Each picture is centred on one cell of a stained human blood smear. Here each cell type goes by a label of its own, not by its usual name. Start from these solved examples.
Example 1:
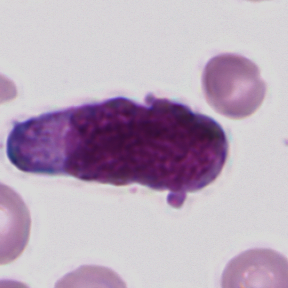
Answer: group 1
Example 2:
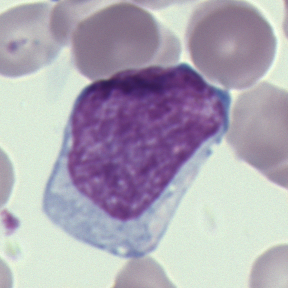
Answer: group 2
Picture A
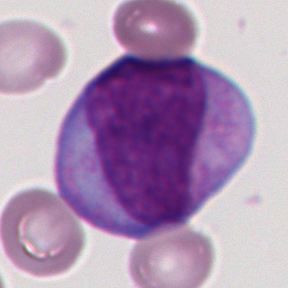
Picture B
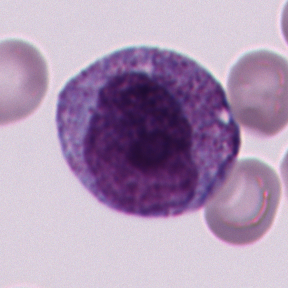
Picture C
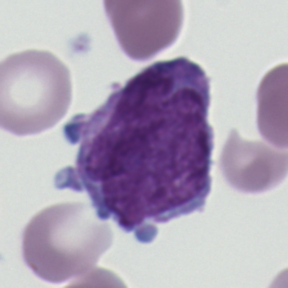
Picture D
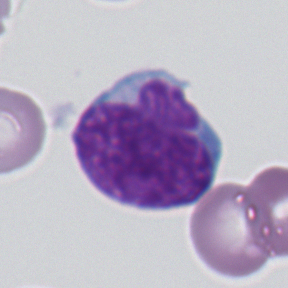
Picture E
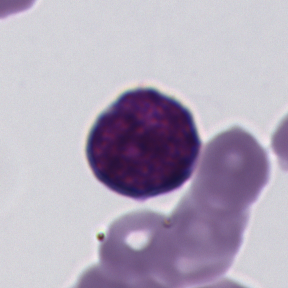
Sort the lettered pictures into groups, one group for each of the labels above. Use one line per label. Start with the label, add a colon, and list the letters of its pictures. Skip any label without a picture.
group 1: A, B, C
group 2: D, E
